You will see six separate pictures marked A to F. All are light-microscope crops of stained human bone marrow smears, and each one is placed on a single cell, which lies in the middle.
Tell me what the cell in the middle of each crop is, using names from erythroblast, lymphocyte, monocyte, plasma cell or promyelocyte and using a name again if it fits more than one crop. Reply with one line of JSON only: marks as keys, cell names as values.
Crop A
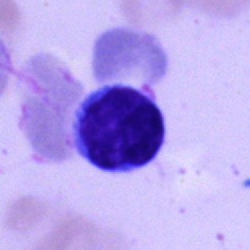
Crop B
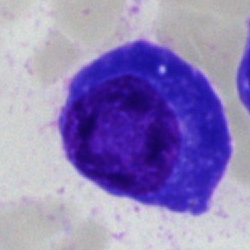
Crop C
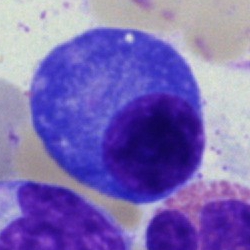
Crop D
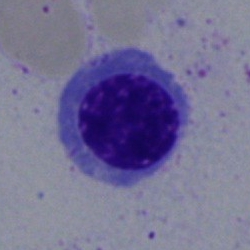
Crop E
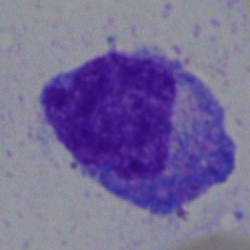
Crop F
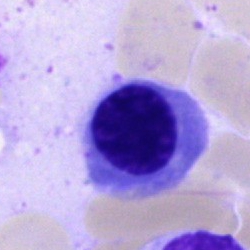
{"A": "lymphocyte", "B": "plasma cell", "C": "plasma cell", "D": "erythroblast", "E": "promyelocyte", "F": "erythroblast"}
